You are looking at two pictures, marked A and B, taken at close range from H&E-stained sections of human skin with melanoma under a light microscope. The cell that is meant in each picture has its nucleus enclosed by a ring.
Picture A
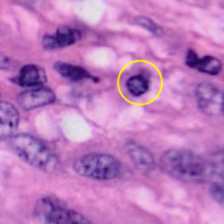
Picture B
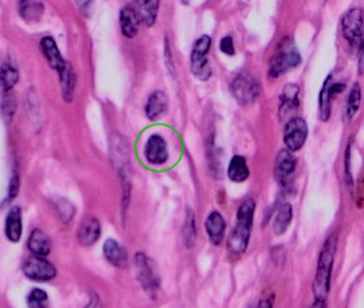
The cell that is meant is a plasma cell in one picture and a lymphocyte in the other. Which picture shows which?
A: plasma cell
B: lymphocyte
